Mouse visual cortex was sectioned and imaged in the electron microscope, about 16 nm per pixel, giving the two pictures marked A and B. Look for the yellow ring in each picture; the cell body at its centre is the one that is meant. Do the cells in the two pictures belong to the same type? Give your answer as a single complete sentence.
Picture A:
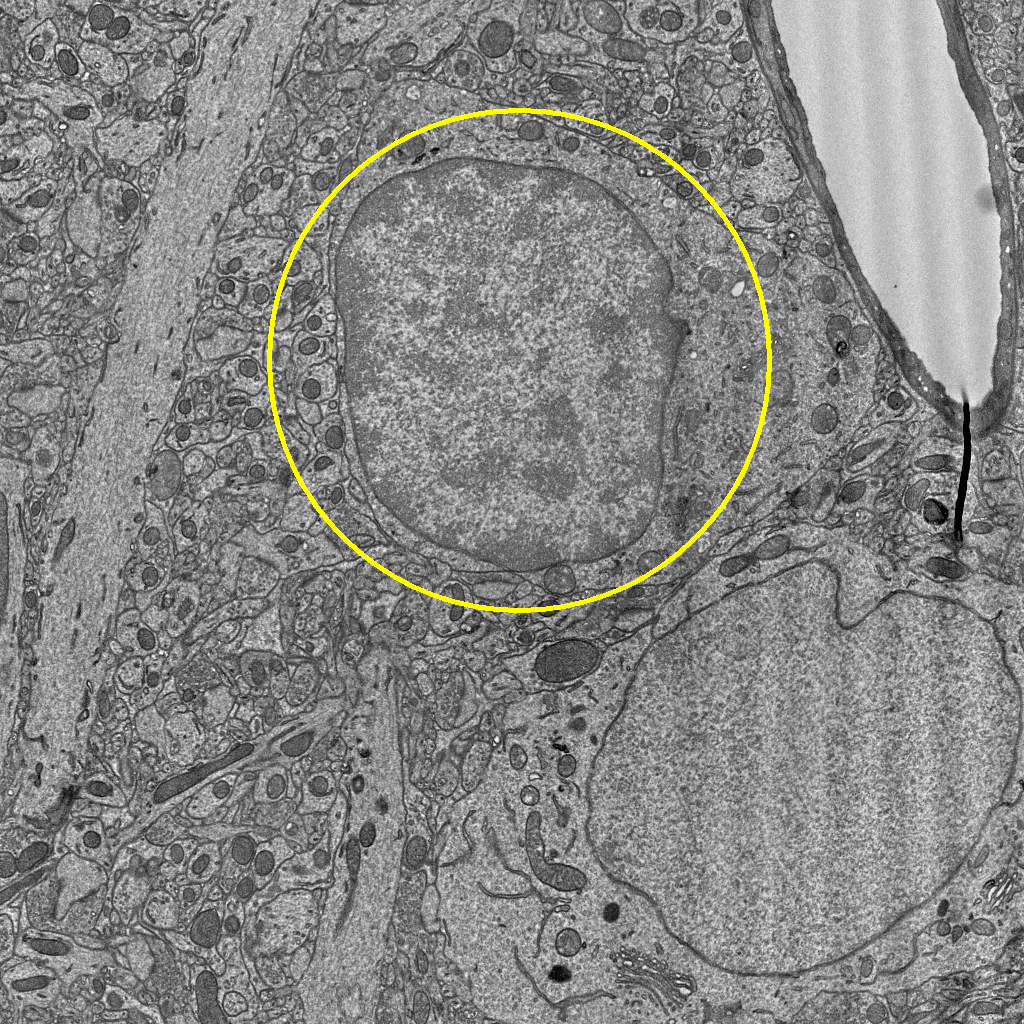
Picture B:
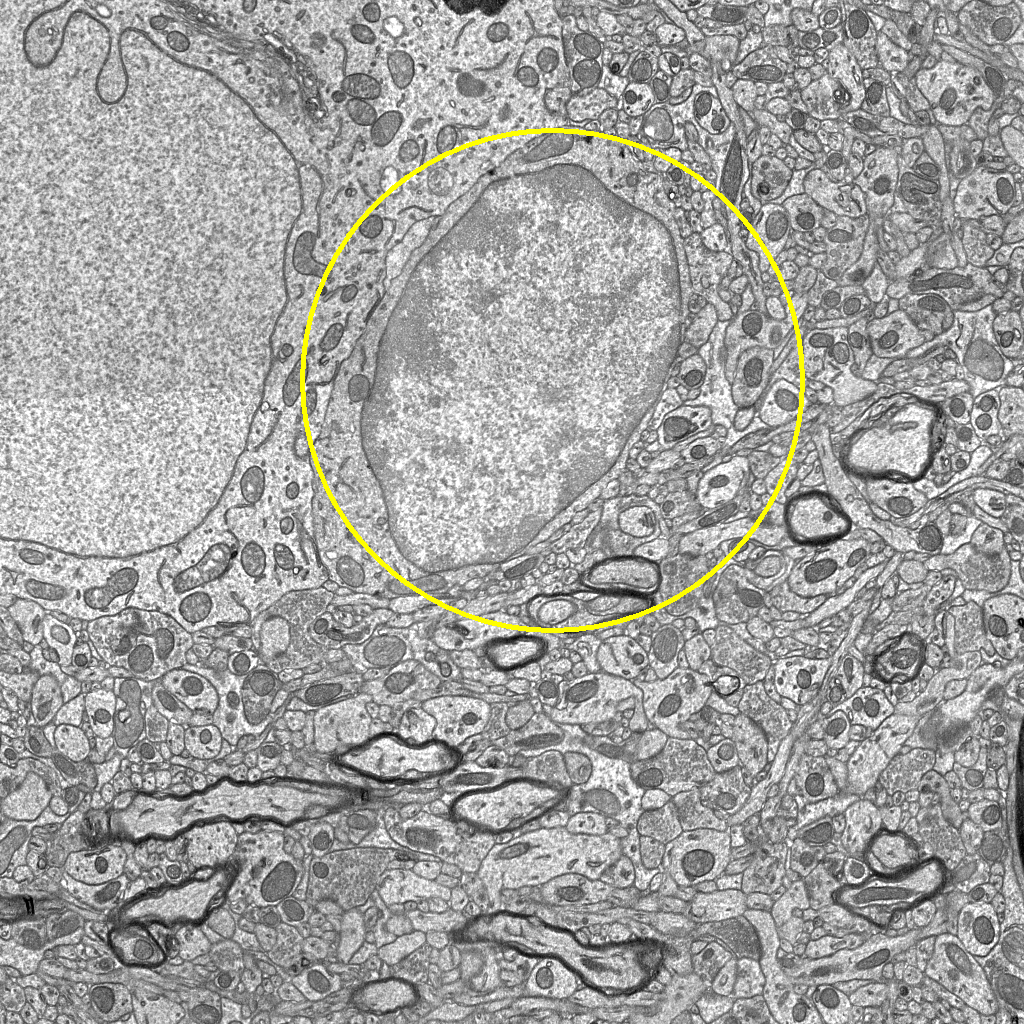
Yes, both cells are oligodendrocytes.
